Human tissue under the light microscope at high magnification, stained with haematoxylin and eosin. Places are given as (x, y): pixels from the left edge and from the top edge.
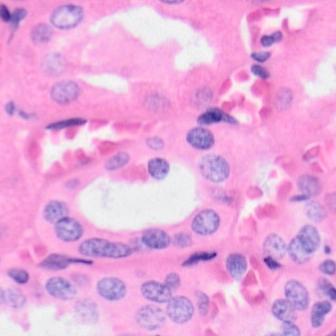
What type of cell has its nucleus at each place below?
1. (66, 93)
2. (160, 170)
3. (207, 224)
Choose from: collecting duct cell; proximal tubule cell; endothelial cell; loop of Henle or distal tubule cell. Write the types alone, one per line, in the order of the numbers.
proximal tubule cell
collecting duct cell
collecting duct cell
